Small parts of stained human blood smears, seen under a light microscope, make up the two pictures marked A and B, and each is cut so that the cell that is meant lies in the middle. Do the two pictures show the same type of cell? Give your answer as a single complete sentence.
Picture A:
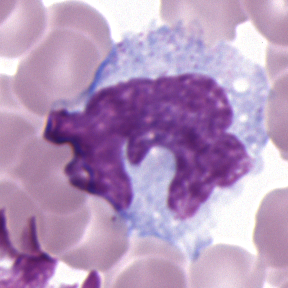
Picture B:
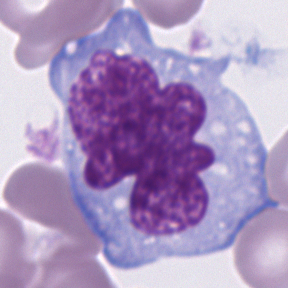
Yes, the two pictures both show monocytes.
